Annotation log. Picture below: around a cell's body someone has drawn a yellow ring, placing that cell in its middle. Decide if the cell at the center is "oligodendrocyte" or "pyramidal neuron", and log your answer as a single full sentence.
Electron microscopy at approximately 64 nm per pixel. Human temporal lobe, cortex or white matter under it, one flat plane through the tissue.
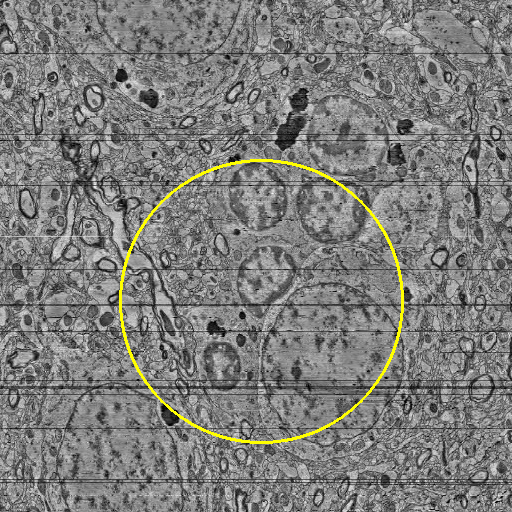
My entry records an oligodendrocyte as the cell sitting at the center of the yellow ring.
